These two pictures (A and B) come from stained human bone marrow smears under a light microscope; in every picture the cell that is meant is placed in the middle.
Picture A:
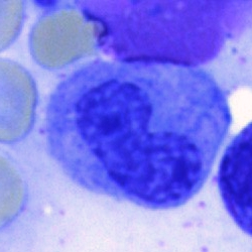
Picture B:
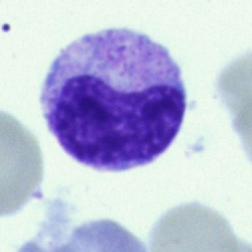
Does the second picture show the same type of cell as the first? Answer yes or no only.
no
